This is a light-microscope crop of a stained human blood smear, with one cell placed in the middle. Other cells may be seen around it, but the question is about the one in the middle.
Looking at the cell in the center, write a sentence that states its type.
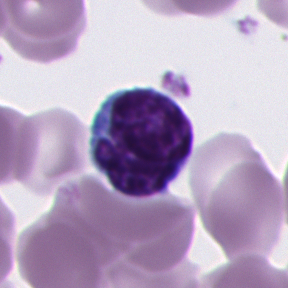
The cell in the middle of this crop is a typical lymphocyte.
